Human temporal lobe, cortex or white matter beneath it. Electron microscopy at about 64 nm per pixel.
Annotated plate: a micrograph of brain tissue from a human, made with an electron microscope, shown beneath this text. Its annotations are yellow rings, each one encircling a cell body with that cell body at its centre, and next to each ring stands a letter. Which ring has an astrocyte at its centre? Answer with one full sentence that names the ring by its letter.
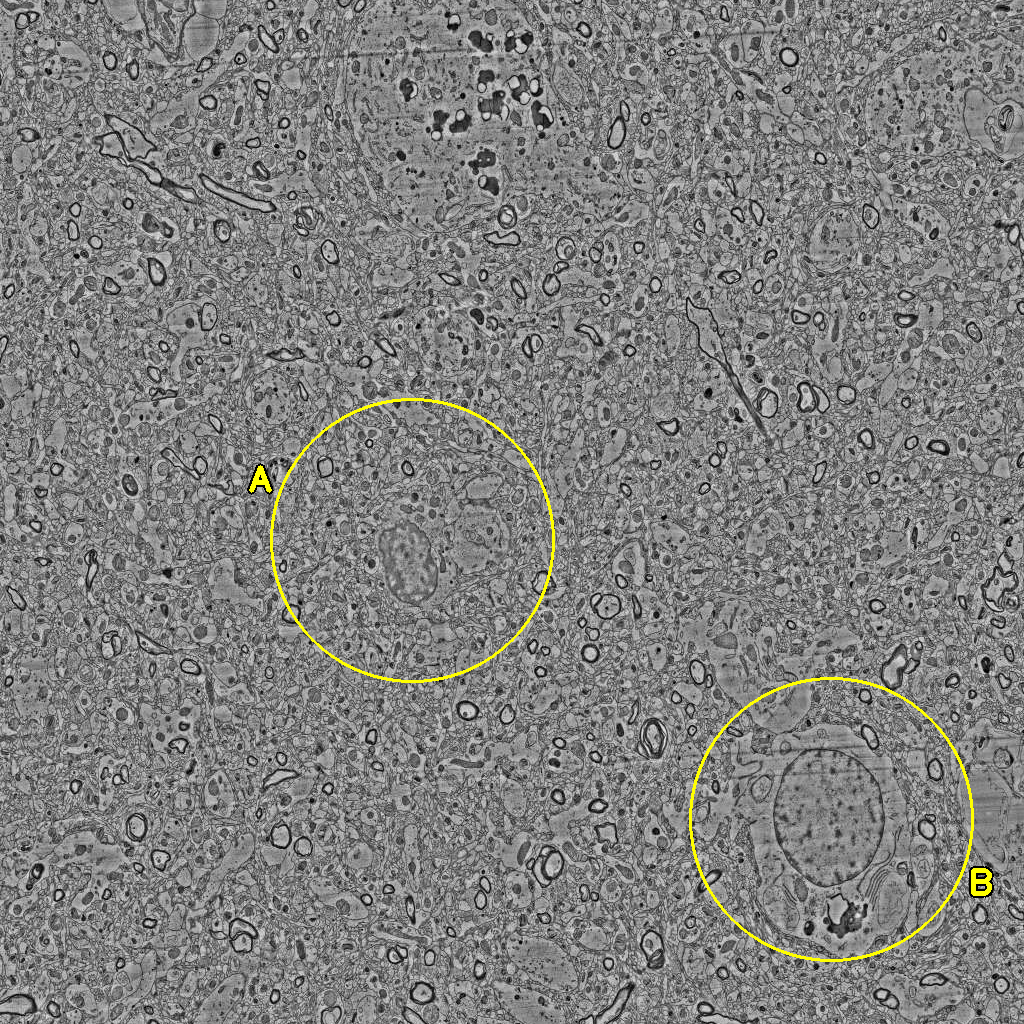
In the plate, ring B is the one centred on a cell of that kind.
